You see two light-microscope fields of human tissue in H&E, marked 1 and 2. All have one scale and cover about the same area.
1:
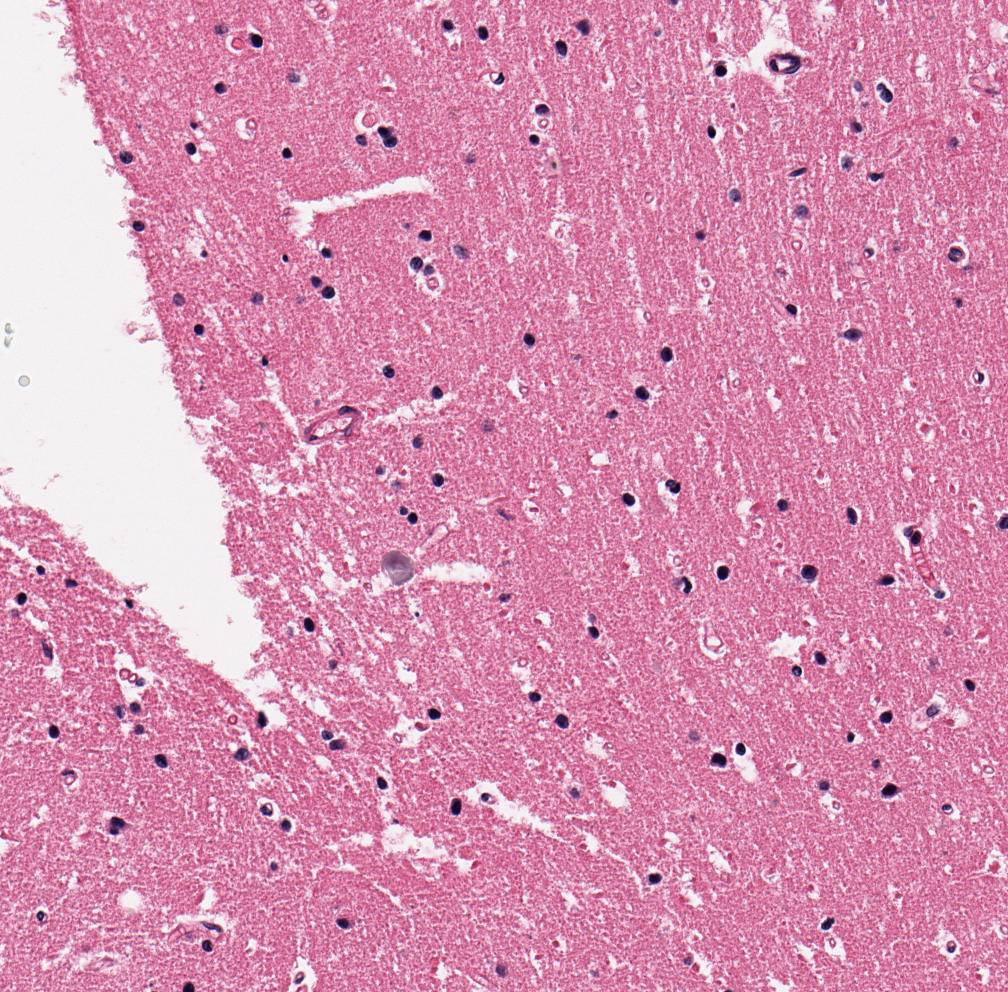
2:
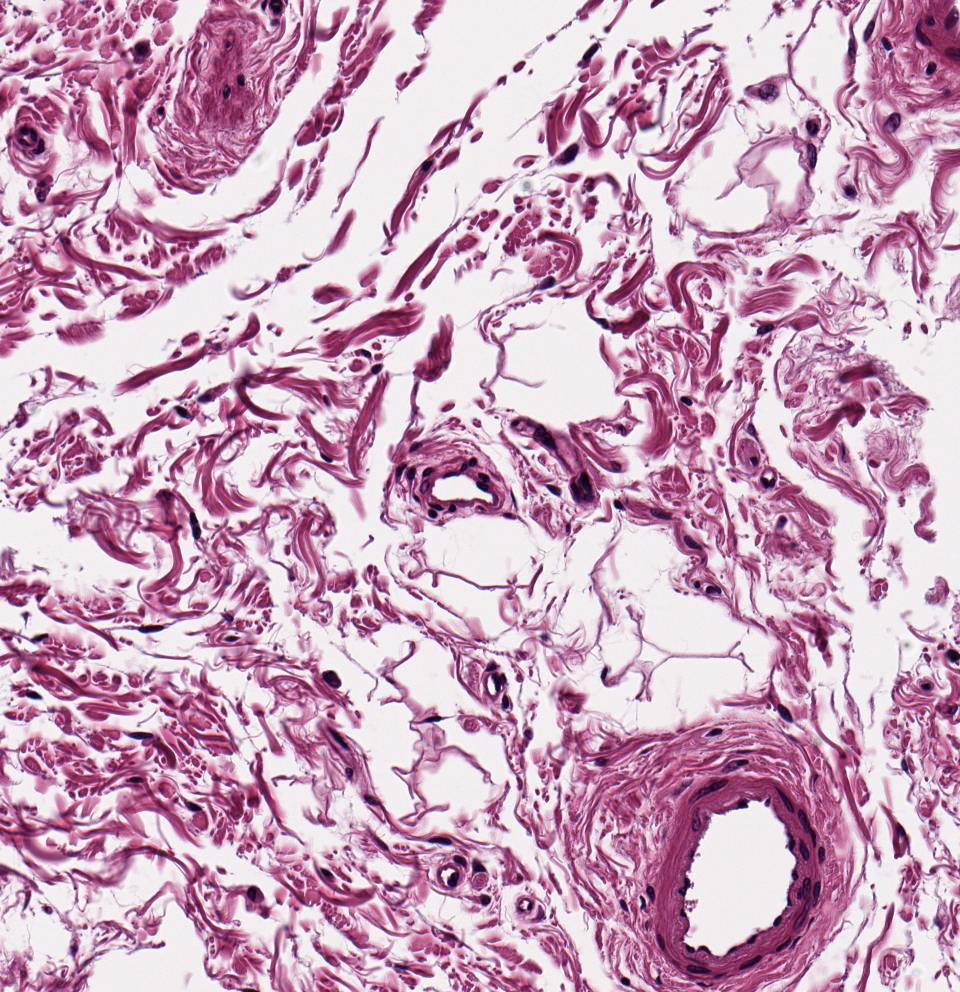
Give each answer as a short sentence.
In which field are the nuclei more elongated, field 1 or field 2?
The nuclei are more elongated in field 2.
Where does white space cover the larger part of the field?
Unstained space takes up more of field 2 than of field 1.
